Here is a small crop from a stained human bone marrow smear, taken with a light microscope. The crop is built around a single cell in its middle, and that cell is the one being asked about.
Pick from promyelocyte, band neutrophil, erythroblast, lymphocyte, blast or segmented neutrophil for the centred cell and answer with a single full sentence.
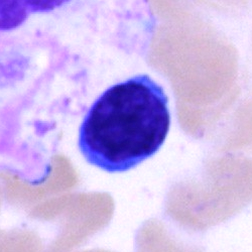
Here the cell in the middle is a lymphocyte.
